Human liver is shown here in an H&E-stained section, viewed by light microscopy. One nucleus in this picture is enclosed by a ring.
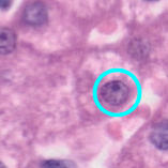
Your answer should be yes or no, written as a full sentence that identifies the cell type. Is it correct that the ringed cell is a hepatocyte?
Yes, as far as cell type goes, the ringed cell is a hepatocyte.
